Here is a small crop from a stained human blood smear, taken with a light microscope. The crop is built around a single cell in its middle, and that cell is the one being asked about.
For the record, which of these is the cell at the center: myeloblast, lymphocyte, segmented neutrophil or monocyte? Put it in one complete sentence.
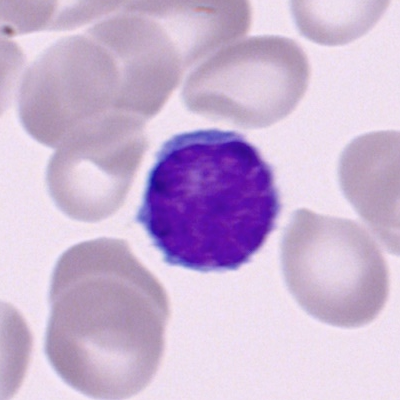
The cell at the central position in this crop is a lymphocyte.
